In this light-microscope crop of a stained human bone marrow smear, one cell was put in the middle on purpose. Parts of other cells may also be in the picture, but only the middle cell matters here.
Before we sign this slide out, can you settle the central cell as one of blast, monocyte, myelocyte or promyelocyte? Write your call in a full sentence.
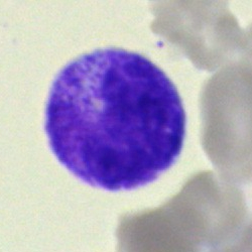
At the crop's centre, the cell is a myelocyte.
